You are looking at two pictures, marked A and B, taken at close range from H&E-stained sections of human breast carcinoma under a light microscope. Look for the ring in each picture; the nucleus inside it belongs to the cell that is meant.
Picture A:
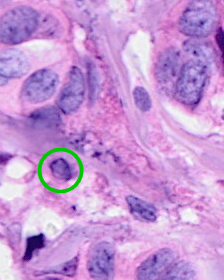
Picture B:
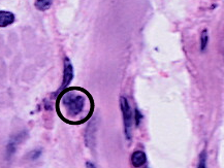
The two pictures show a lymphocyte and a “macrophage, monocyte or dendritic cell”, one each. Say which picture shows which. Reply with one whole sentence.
In picture A the cell is a “macrophage, monocyte or dendritic cell”; in picture B, a lymphocyte.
